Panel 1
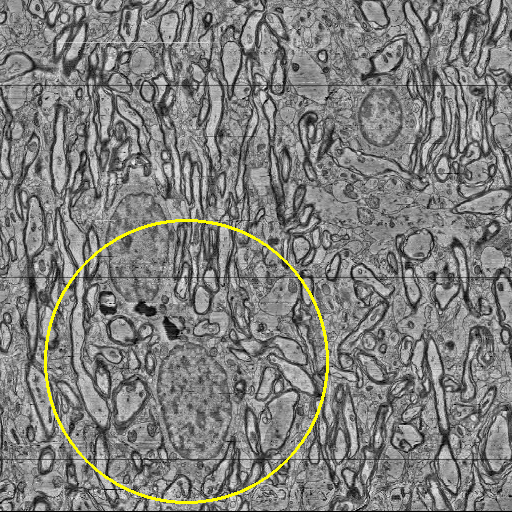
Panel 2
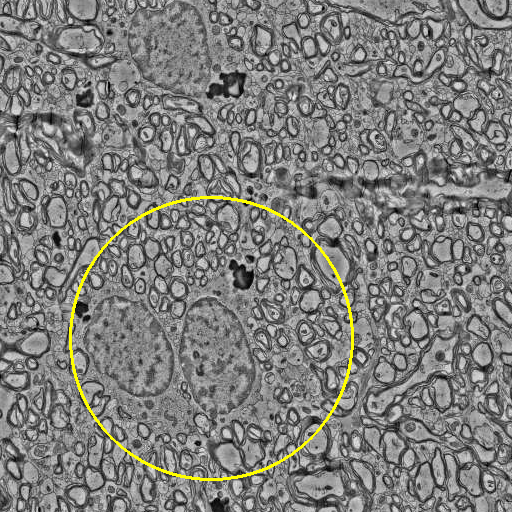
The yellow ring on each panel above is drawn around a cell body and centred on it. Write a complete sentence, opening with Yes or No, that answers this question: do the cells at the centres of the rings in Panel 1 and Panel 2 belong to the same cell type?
Yes, both cells belong to the same cell type.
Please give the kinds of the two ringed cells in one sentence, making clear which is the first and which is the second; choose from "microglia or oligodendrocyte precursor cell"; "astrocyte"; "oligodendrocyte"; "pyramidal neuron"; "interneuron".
Each cell at the centre of a ring is an oligodendrocyte.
